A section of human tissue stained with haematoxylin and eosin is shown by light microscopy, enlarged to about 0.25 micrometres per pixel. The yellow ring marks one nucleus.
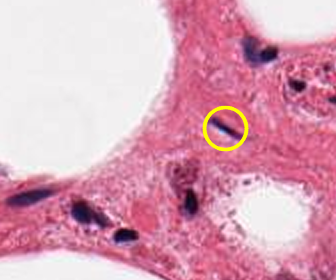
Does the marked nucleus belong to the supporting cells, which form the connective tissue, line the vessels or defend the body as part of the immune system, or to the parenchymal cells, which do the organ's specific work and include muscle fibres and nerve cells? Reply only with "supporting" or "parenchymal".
supporting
